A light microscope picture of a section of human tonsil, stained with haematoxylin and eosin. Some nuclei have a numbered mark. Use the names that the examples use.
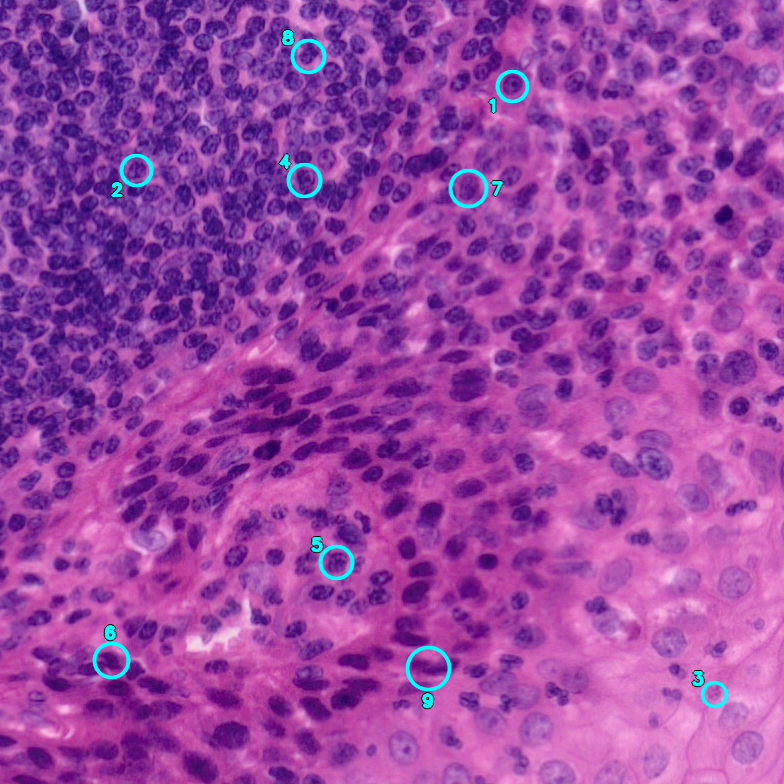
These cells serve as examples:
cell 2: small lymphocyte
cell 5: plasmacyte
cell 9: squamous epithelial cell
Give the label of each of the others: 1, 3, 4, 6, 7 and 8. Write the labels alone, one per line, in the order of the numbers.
plasmacyte
squamous epithelial cell
small lymphocyte
squamous epithelial cell
squamous epithelial cell
small lymphocyte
